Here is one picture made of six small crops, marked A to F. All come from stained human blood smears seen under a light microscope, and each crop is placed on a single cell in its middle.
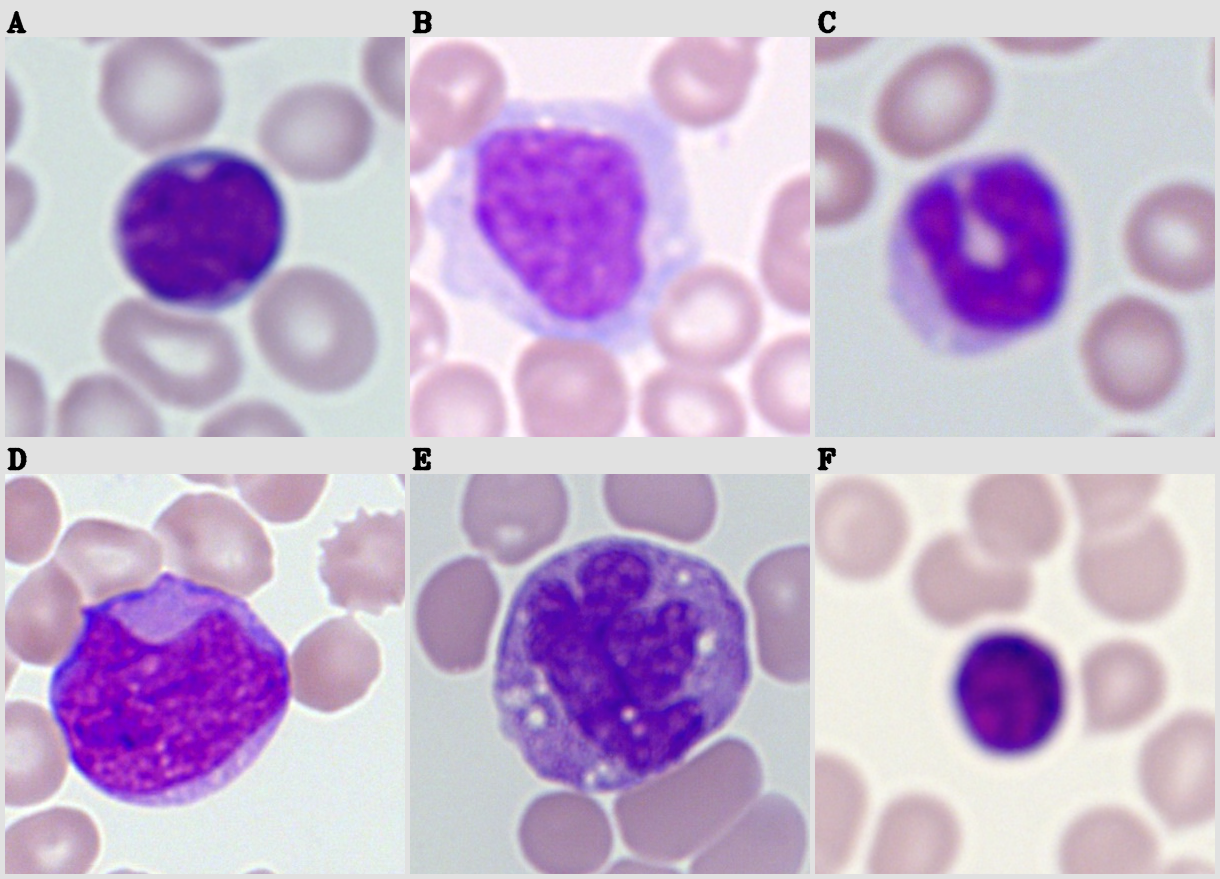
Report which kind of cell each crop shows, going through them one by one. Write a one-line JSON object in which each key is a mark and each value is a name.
{"A": "blast", "B": "monocyte", "C": "monocyte", "D": "blast", "E": "monocyte", "F": "lymphocyte"}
